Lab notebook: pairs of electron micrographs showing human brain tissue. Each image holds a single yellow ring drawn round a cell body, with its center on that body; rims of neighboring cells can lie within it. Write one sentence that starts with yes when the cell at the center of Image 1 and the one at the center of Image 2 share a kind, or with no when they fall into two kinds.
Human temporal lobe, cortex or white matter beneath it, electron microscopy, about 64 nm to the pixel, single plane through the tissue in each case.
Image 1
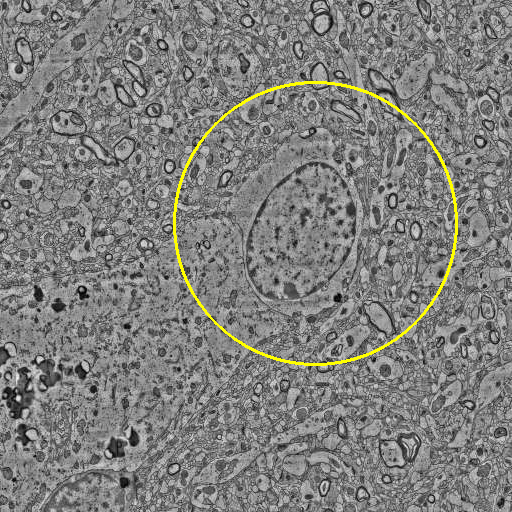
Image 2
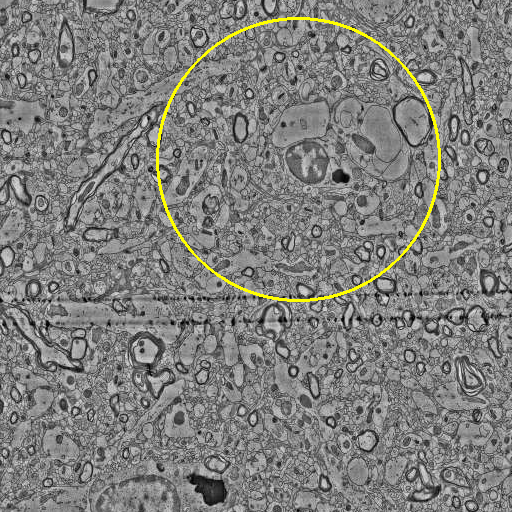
Yes, the centered cell in Image 1 and the centered cell in Image 2 are of one kind.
